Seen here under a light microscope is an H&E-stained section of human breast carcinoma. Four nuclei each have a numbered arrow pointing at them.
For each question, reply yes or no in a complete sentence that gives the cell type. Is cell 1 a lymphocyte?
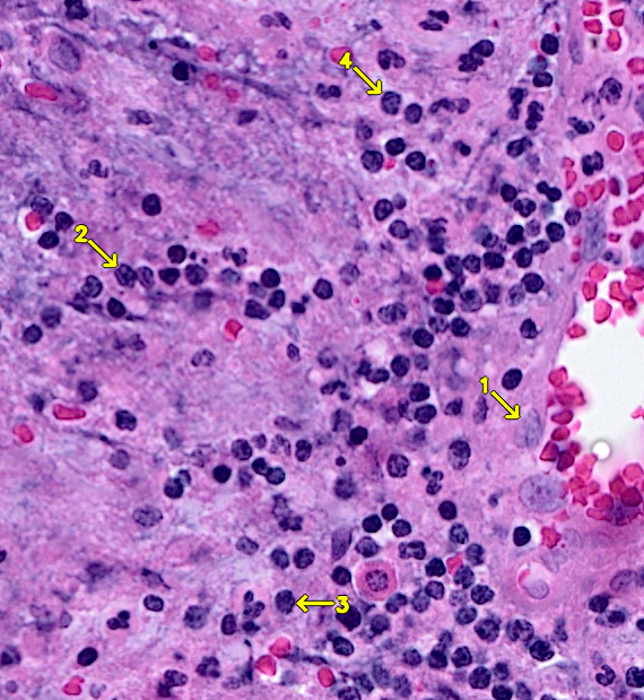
No, for cell 1, the correct identification is an endothelial cell instead of a lymphocyte.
